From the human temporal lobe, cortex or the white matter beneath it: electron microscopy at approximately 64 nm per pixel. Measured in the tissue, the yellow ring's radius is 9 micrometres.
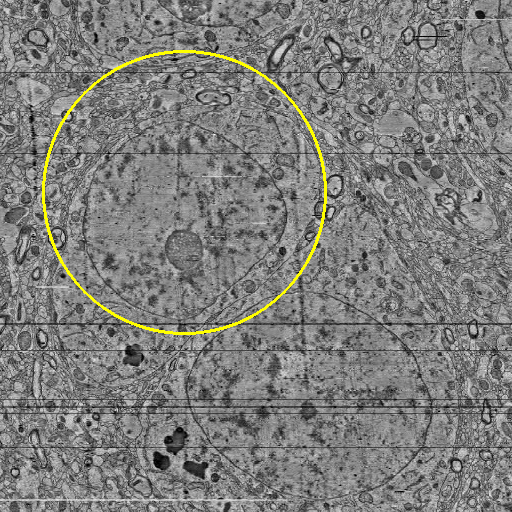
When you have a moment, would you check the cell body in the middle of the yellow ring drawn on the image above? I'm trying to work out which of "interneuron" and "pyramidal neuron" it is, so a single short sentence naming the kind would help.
This cell body belongs to a pyramidal neuron.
